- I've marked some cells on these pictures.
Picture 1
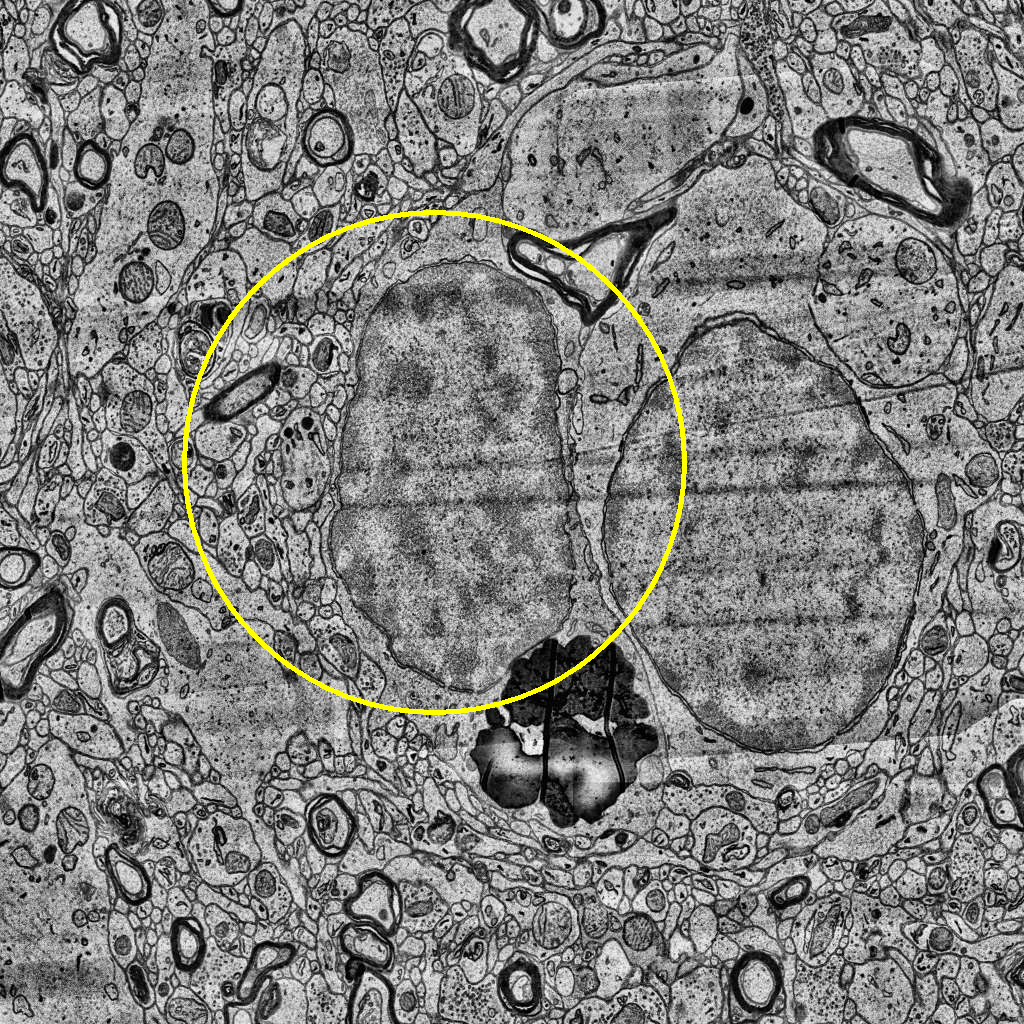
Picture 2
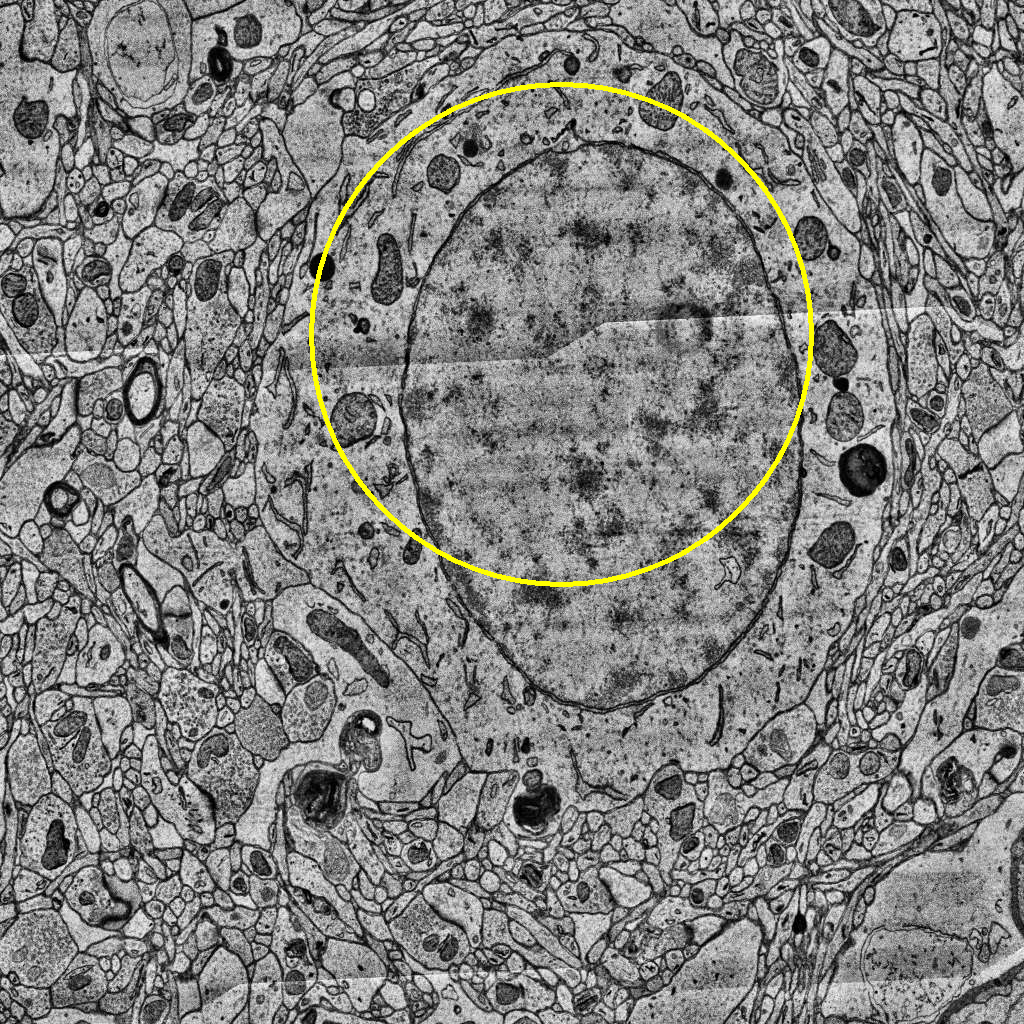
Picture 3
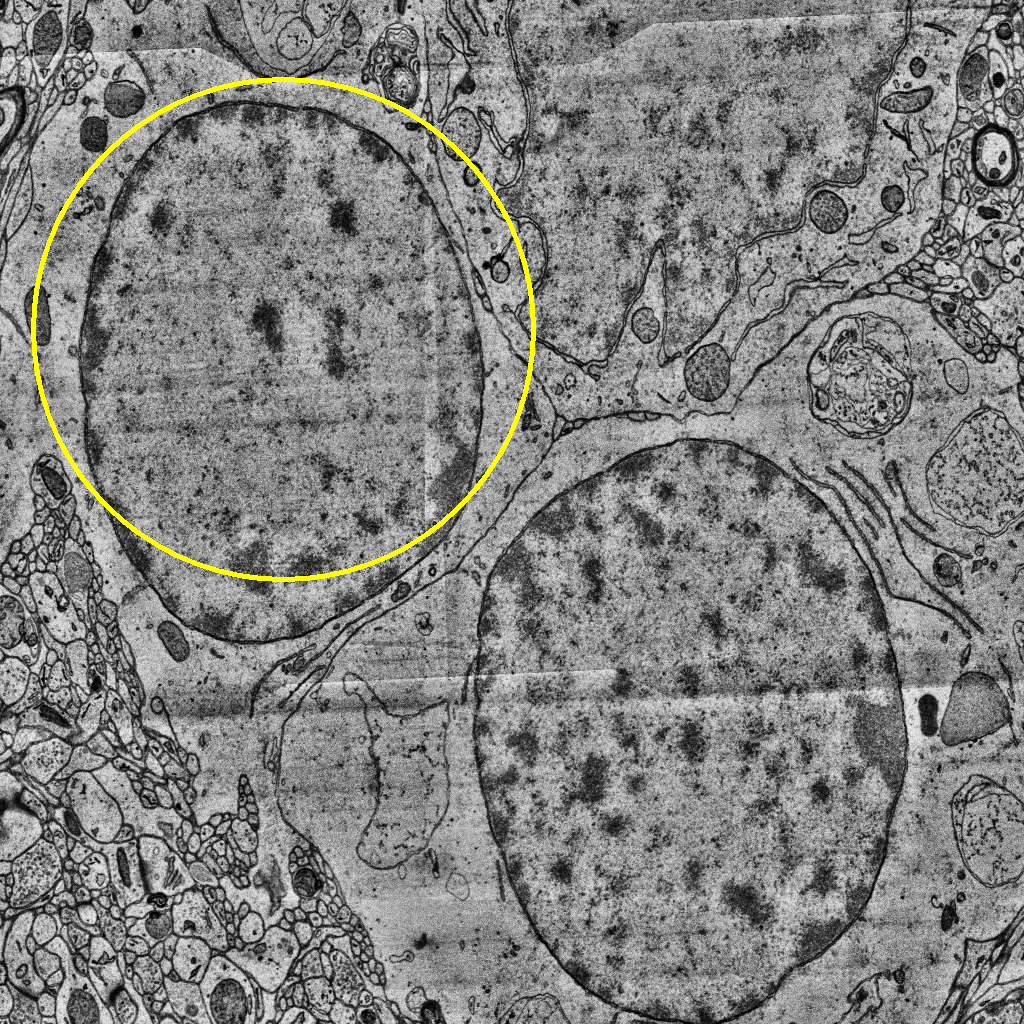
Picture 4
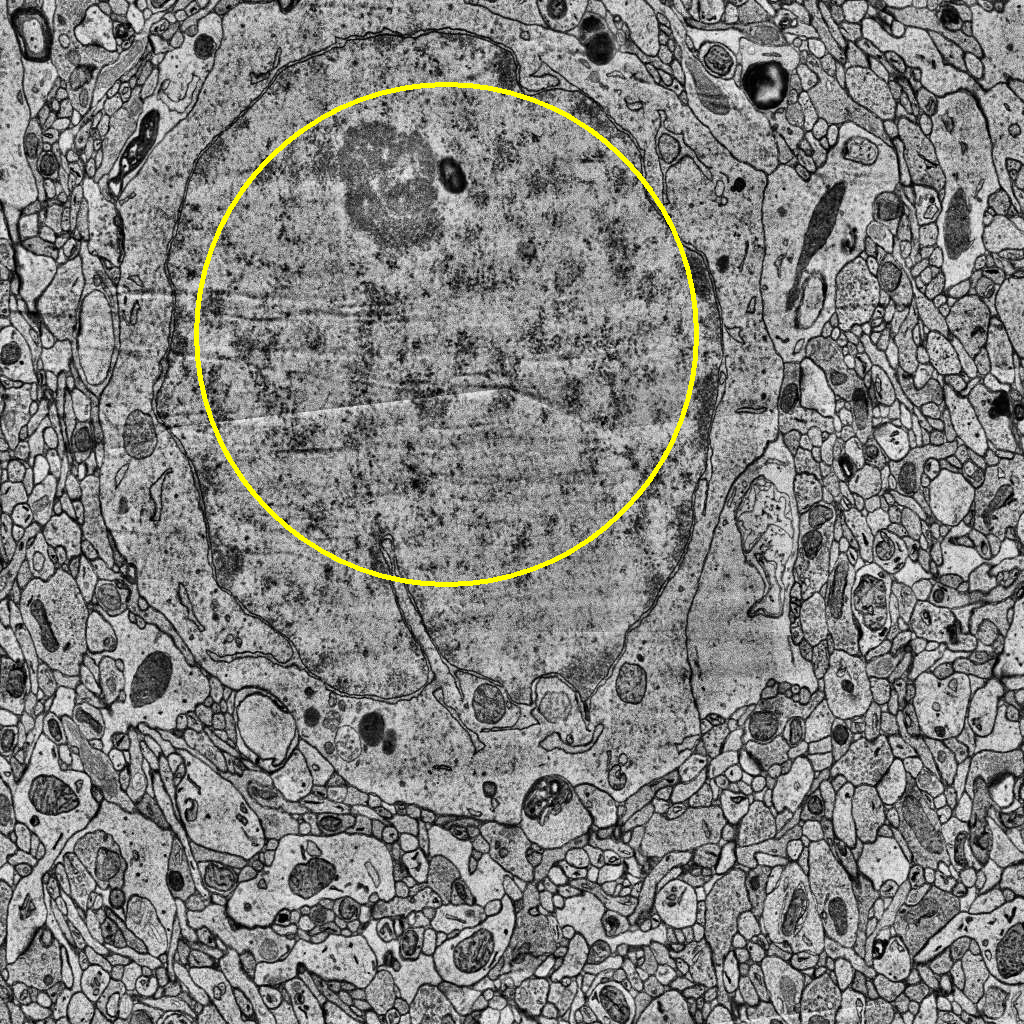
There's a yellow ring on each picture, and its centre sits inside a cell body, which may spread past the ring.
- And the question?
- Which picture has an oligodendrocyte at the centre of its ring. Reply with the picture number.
1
